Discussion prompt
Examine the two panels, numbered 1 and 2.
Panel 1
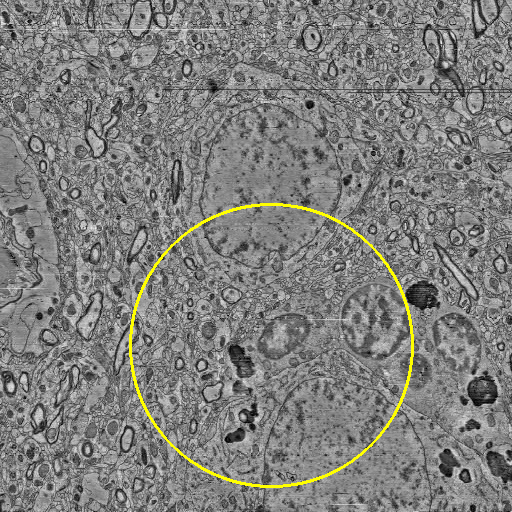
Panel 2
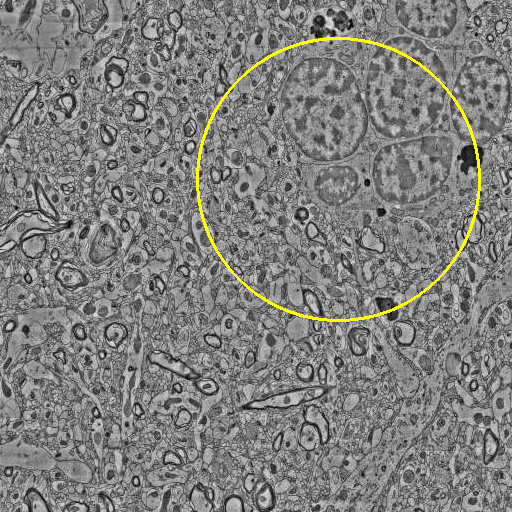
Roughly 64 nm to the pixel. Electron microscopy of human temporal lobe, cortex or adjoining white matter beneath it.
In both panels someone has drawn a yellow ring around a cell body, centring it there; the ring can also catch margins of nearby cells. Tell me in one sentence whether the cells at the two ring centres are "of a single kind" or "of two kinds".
Taken together, the two cells centred in the rings of Panels 1 and 2 are of a single kind.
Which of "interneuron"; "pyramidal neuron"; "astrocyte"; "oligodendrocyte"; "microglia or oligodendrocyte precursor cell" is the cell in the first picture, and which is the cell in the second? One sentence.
Each cell at the centre of a ring is an oligodendrocyte.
